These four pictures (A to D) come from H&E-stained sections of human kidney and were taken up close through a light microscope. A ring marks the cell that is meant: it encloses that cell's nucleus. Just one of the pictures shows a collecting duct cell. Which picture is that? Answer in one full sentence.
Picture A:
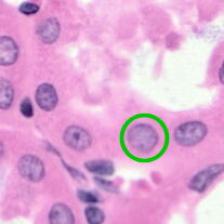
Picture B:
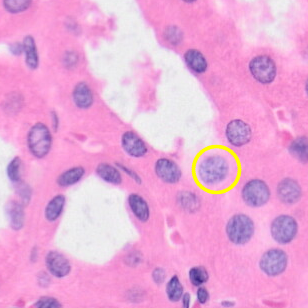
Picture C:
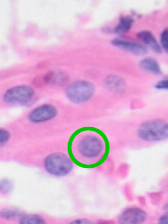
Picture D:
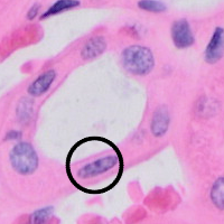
Picture D shows the collecting duct cell.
